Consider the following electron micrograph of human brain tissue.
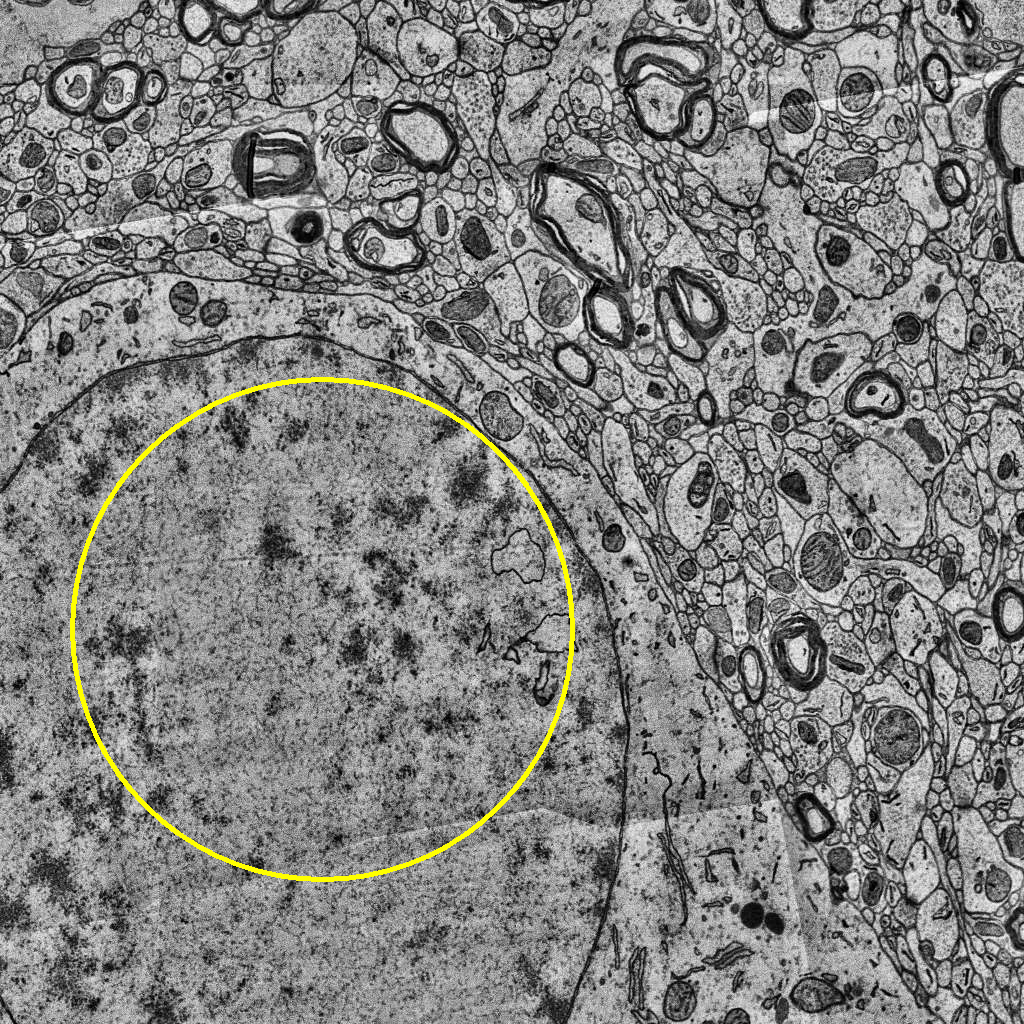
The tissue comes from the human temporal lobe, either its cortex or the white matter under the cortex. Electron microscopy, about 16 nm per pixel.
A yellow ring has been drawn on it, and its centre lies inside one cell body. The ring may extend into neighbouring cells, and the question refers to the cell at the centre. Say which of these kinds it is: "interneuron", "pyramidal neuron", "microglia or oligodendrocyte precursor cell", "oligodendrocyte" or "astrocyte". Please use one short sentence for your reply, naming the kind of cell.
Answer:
The centre of the ring falls on a pyramidal neuron.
